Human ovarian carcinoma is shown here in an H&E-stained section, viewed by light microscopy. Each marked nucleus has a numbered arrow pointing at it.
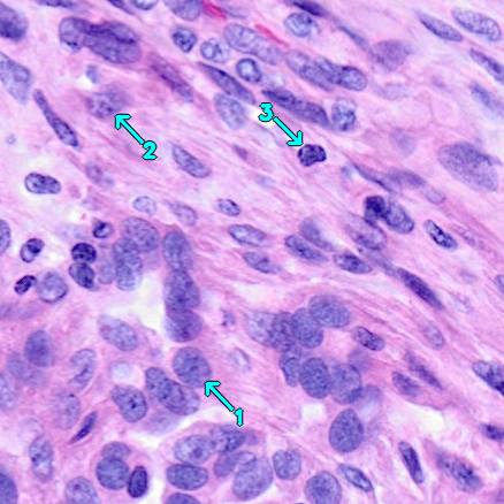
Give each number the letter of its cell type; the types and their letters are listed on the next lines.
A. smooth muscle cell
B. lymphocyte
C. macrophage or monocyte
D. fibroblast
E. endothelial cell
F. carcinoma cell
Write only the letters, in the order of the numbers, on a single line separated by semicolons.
F; D; B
